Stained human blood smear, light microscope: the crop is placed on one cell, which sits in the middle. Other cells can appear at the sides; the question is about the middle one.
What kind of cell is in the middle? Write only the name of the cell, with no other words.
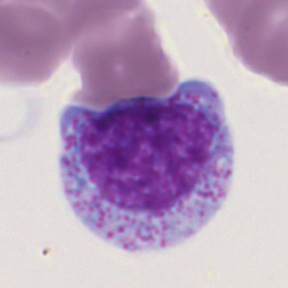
promyelocyte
